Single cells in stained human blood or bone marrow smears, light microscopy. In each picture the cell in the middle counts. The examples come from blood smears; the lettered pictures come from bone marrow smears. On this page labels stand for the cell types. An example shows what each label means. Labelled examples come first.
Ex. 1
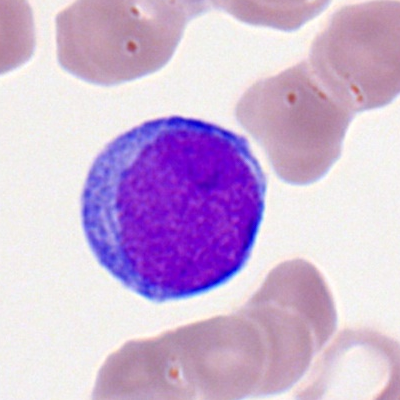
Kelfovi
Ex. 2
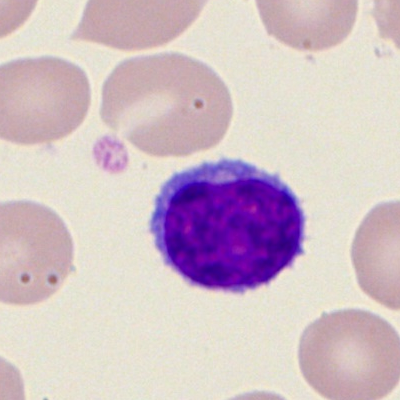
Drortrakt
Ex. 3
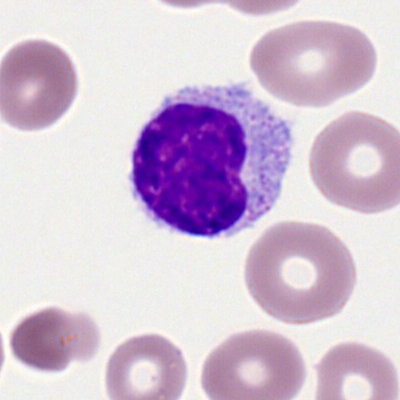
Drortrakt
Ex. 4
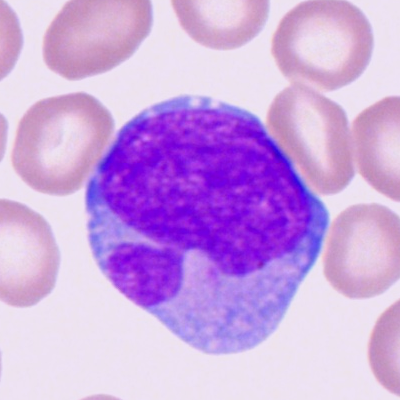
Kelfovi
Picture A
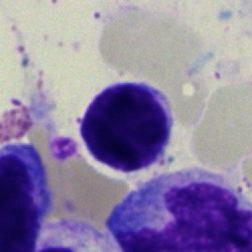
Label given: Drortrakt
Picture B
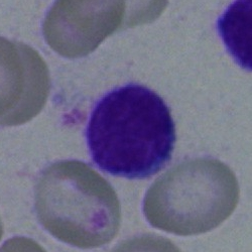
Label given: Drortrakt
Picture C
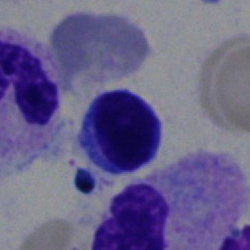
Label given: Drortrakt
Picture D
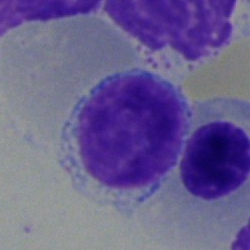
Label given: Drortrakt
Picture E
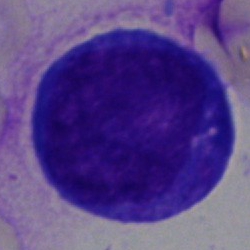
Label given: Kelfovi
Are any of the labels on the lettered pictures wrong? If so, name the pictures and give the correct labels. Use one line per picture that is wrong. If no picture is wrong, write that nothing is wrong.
All labels are correct.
